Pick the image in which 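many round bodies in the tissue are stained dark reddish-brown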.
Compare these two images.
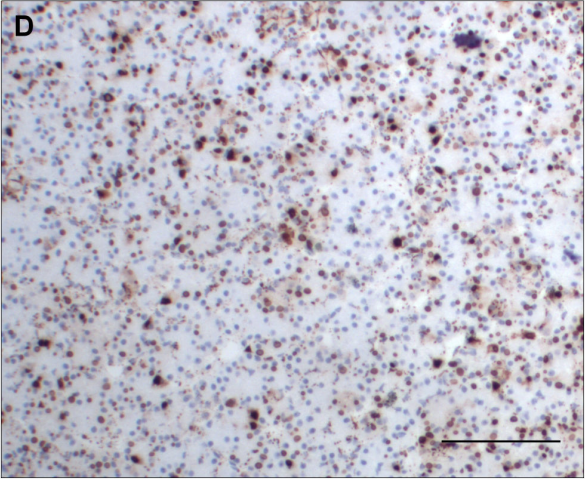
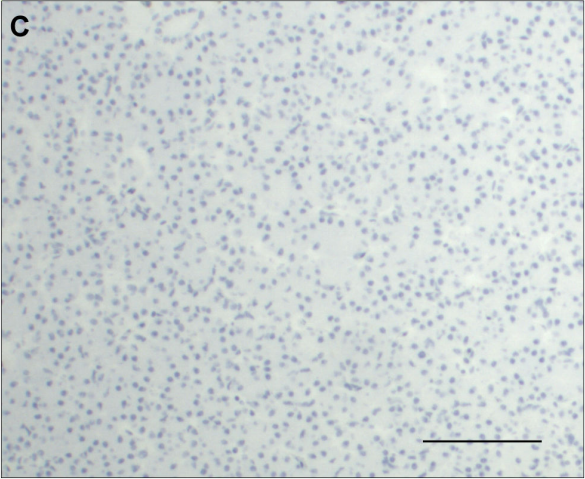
The first image.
